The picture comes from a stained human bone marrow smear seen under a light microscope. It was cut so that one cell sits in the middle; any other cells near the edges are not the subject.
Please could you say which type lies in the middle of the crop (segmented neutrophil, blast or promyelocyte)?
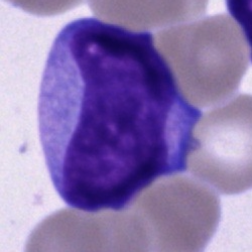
blast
